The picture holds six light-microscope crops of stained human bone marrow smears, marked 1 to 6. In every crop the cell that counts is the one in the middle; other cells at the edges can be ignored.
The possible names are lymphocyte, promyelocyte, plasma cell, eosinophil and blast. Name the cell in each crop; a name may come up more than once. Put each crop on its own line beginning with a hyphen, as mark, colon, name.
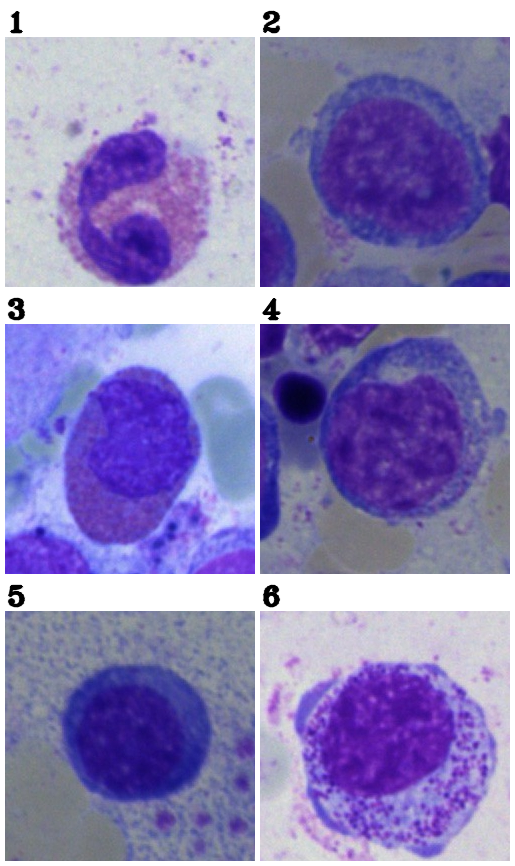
- 1: eosinophil
- 2: blast
- 3: eosinophil
- 4: blast
- 5: plasma cell
- 6: promyelocyte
